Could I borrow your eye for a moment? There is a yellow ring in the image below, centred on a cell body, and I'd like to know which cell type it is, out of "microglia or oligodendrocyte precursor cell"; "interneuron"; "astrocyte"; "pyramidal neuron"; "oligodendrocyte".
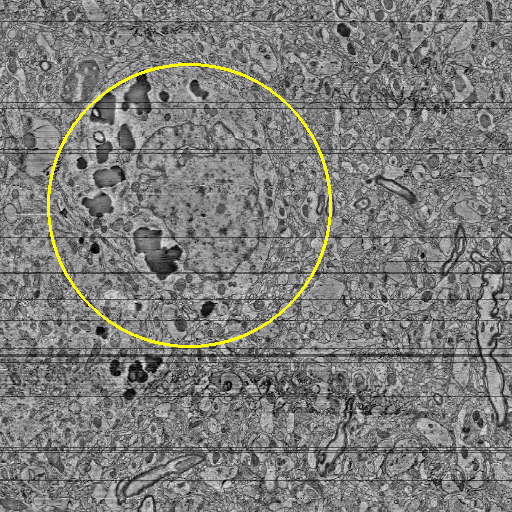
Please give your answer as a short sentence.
The cell body at the centre is that of an interneuron.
